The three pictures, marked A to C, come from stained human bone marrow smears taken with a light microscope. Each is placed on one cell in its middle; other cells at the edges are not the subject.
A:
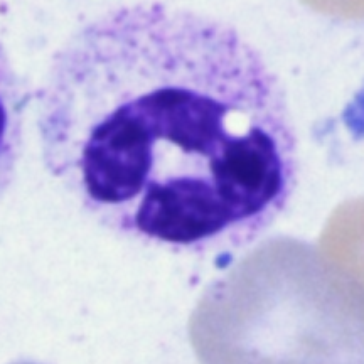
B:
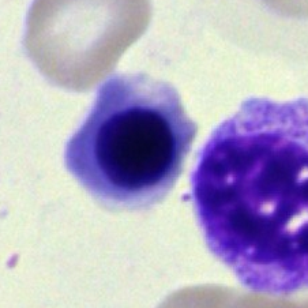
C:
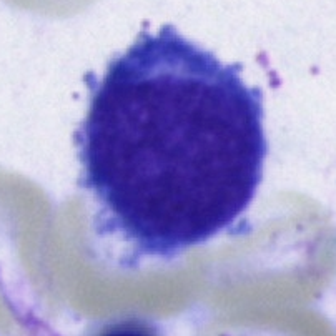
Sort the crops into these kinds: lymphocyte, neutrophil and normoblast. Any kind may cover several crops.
A: neutrophil
B: normoblast
C: lymphocyte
